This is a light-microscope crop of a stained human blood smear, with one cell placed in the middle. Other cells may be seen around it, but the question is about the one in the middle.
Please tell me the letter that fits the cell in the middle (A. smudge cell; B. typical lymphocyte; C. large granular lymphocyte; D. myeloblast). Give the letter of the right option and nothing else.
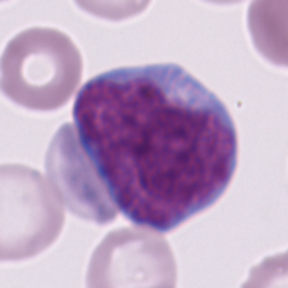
D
